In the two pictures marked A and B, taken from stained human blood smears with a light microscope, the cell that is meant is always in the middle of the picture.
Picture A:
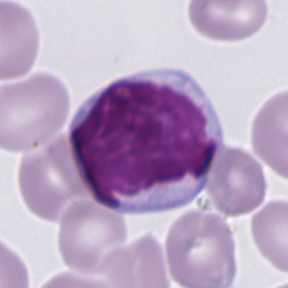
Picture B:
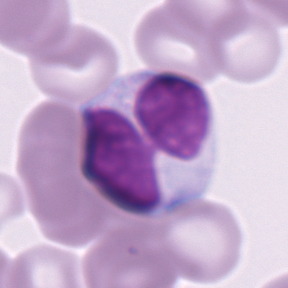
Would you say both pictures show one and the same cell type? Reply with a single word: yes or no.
yes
